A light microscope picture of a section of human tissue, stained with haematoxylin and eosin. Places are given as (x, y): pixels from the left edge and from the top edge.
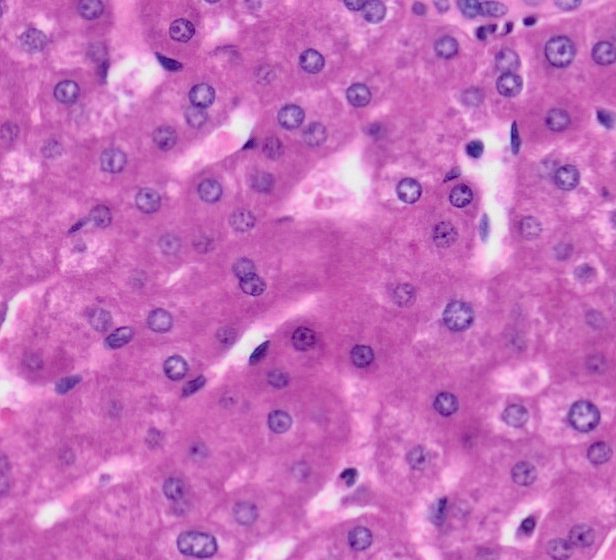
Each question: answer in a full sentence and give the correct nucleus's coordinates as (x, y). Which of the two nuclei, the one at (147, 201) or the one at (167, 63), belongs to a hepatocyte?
The nucleus contained in a hepatocyte is the one at (147, 201).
